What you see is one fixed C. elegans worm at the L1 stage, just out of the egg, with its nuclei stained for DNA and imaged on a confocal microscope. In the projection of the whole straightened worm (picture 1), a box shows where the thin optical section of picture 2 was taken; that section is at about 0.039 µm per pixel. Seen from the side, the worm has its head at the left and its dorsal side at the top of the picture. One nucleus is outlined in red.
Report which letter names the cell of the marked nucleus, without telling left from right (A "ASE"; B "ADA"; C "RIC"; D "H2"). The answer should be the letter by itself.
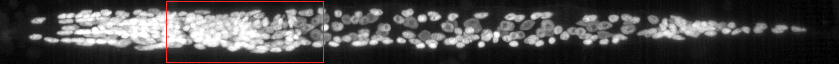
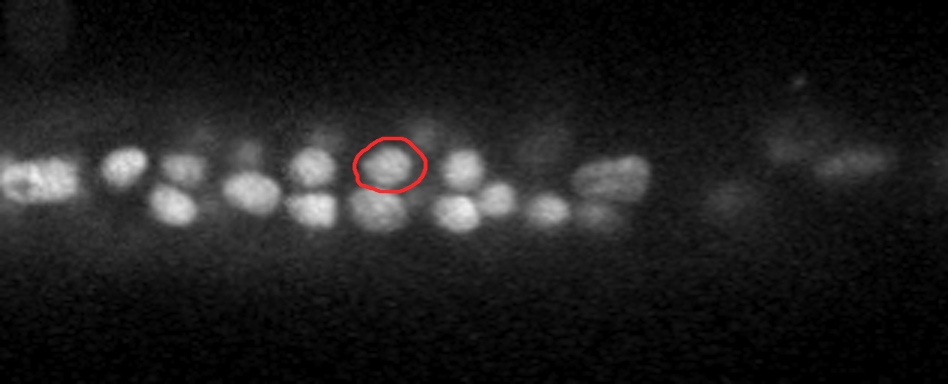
A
